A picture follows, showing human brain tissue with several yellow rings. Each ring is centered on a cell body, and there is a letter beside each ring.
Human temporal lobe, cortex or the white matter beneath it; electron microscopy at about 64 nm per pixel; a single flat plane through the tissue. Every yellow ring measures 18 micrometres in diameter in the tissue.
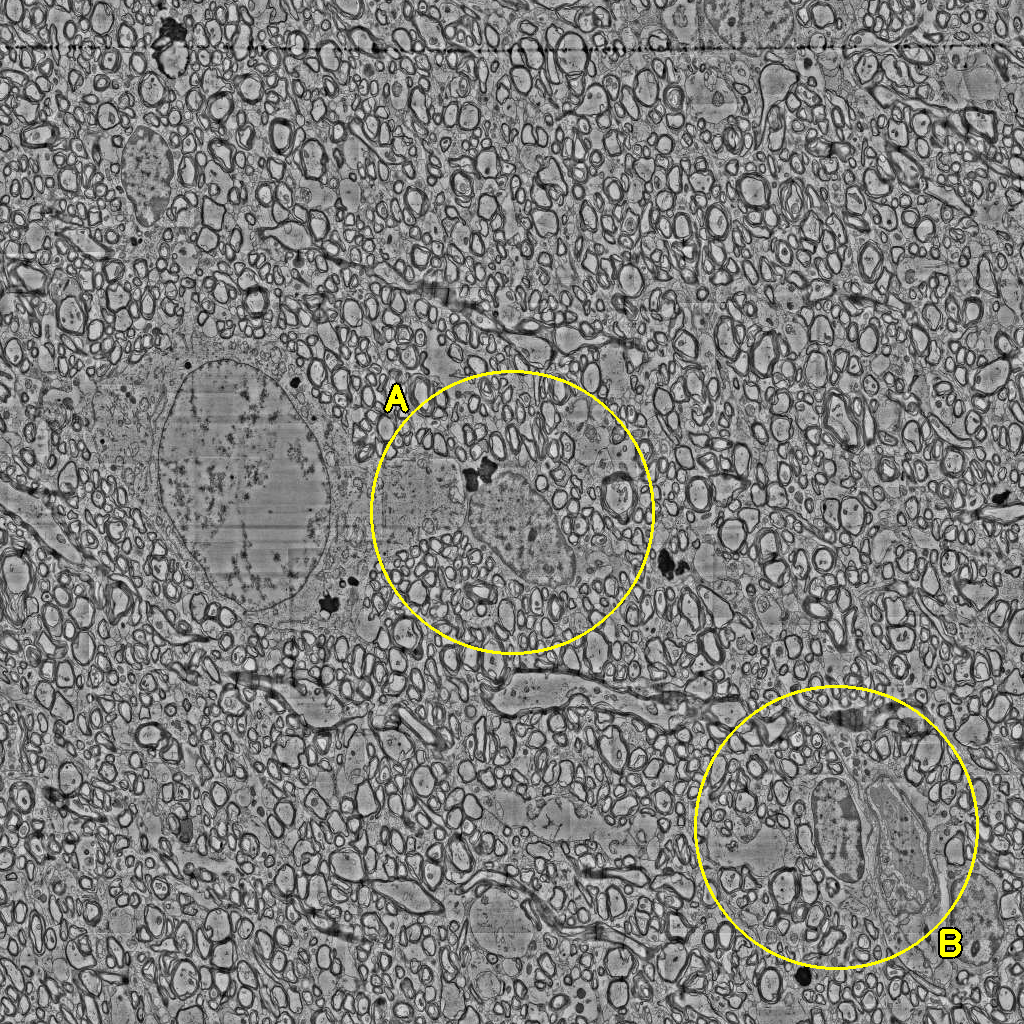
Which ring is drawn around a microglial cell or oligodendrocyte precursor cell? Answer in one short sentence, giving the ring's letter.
Ring B is drawn around it.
